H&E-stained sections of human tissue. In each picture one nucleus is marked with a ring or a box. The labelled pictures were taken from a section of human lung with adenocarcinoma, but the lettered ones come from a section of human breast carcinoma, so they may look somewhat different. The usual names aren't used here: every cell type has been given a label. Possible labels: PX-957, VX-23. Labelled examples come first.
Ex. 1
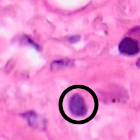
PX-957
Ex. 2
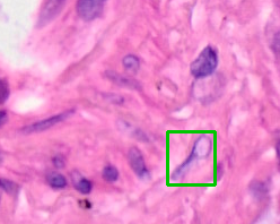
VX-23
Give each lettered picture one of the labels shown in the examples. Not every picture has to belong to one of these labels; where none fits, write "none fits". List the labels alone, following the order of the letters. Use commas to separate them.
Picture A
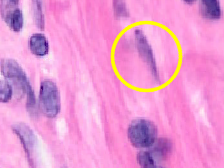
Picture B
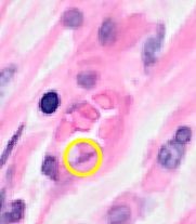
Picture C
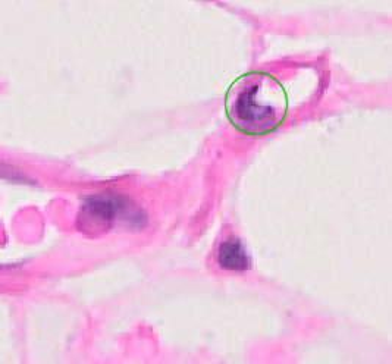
VX-23, none fits, none fits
